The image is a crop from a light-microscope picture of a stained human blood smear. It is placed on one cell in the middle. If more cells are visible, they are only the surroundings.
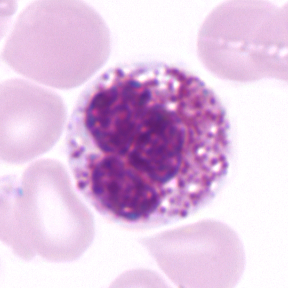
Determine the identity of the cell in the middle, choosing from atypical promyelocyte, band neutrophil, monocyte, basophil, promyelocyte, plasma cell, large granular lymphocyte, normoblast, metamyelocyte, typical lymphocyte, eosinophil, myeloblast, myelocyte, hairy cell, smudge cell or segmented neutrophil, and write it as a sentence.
What the crop centres on is an eosinophil.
